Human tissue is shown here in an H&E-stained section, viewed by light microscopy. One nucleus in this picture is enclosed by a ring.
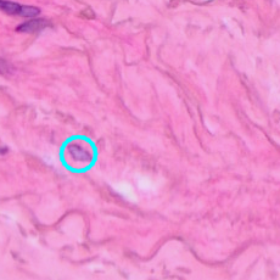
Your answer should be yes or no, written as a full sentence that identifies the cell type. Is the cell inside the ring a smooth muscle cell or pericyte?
Yes, a smooth muscle cell or pericyte is what the cell inside the ring is in this section.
